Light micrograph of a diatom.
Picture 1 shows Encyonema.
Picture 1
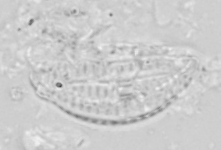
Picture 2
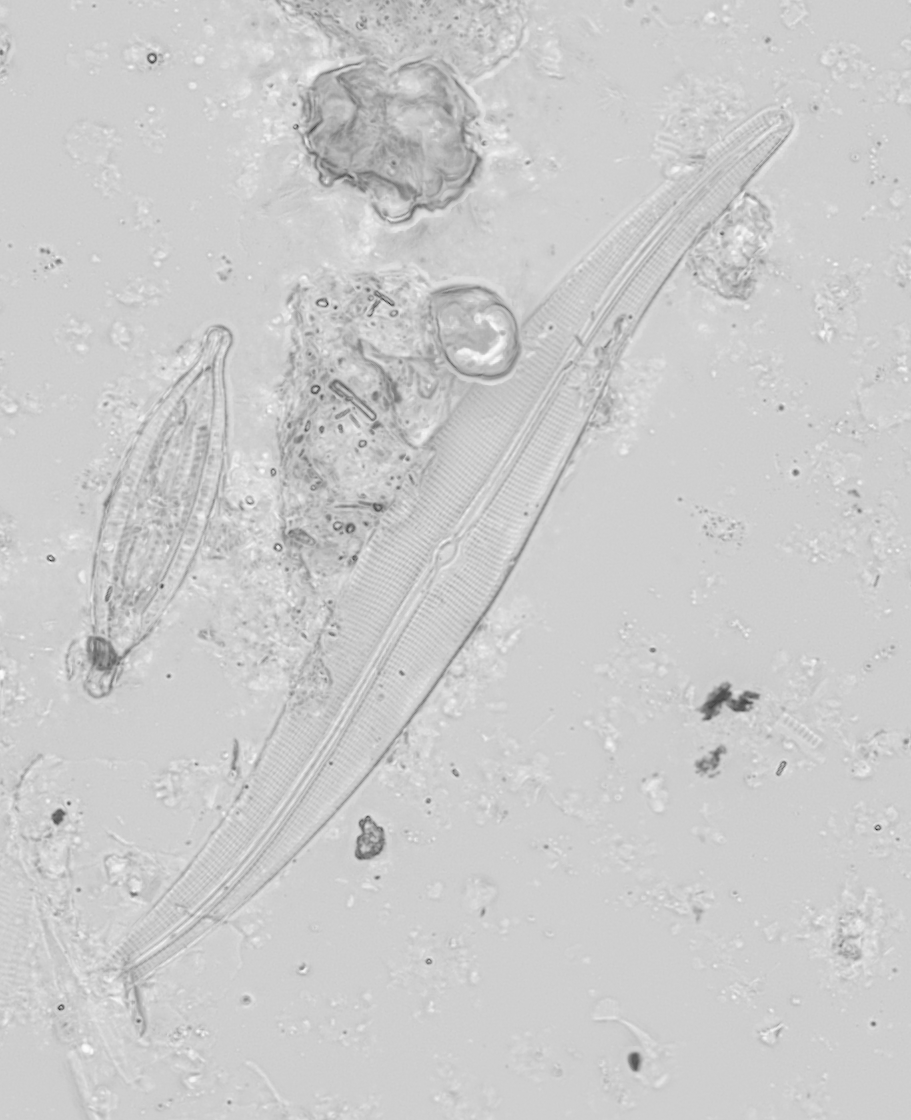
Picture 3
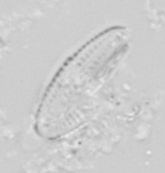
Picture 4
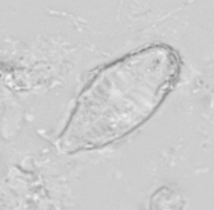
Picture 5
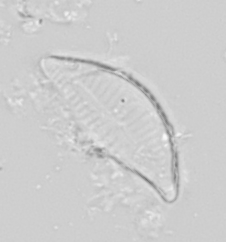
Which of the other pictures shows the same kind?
Picture 5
